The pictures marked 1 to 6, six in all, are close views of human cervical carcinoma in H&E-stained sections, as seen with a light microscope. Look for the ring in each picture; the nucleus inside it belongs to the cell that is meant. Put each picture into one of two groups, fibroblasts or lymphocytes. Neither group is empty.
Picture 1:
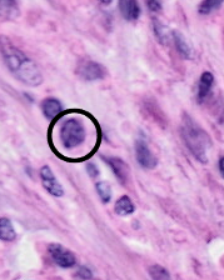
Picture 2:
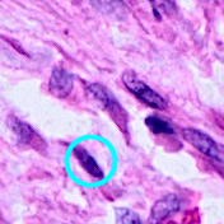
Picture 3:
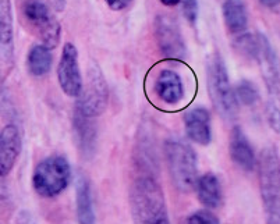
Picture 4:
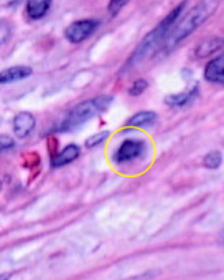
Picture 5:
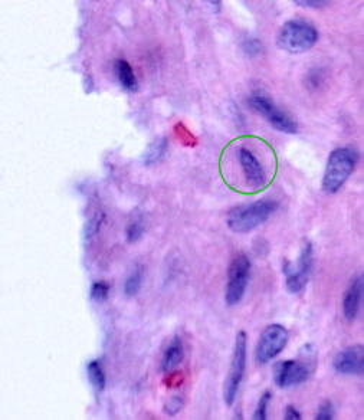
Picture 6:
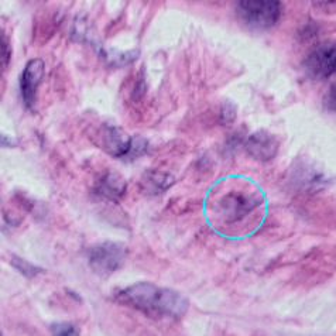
1: lymphocyte
2: fibroblast
3: lymphocyte
4: lymphocyte
5: fibroblast
6: fibroblast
